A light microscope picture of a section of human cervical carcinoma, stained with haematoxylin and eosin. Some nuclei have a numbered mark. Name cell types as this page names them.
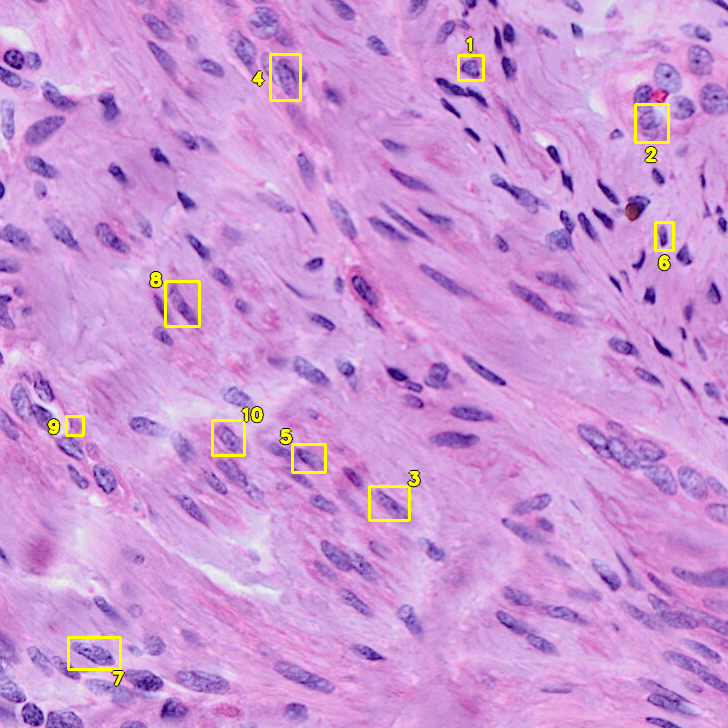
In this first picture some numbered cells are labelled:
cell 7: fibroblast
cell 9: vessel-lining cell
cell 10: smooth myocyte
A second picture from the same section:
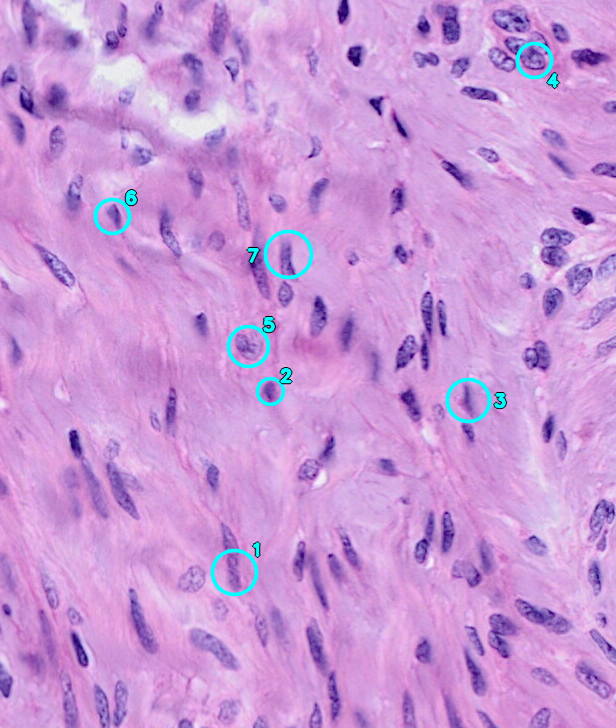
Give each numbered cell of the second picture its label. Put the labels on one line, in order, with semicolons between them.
smooth myocyte; smooth myocyte; fibroblast; vessel-lining cell; smooth myocyte; fibroblast; fibroblast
